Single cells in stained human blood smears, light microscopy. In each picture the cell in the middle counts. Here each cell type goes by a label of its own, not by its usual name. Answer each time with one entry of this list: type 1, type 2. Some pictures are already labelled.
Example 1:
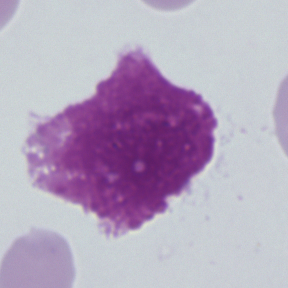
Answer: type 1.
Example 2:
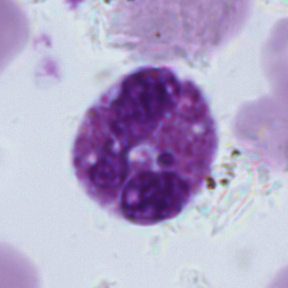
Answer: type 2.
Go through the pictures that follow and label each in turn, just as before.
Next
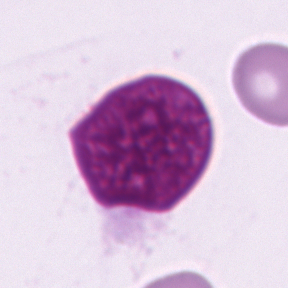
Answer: type 1.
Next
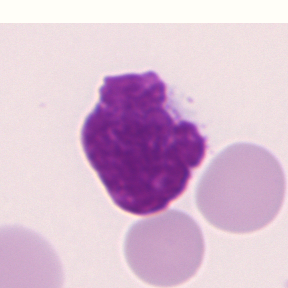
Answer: type 1.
